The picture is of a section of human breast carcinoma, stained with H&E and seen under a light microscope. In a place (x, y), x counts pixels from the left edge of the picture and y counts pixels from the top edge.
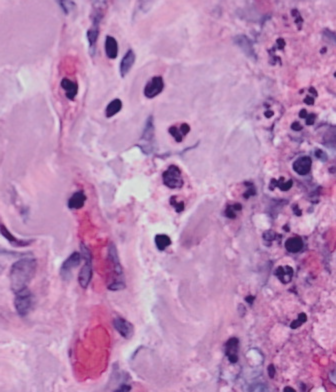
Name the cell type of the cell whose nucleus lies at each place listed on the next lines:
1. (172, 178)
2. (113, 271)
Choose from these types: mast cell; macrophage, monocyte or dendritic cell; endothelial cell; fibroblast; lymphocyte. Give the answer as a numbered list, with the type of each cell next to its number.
1. macrophage, monocyte or dendritic cell
2. endothelial cell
